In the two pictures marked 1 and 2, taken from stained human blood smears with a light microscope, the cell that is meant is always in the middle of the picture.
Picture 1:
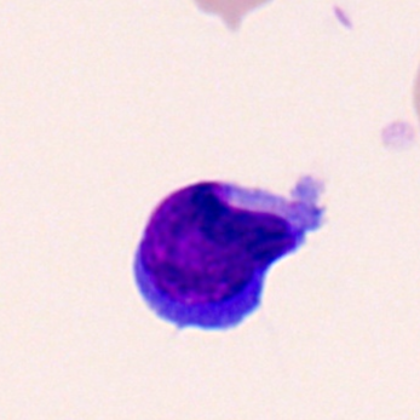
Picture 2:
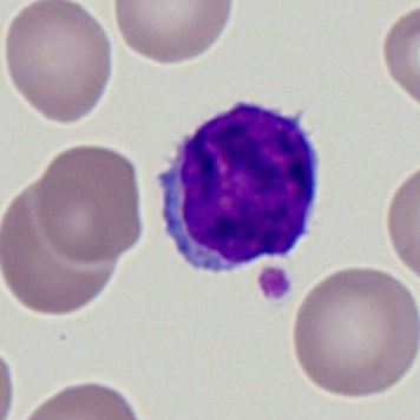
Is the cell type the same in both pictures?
yes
